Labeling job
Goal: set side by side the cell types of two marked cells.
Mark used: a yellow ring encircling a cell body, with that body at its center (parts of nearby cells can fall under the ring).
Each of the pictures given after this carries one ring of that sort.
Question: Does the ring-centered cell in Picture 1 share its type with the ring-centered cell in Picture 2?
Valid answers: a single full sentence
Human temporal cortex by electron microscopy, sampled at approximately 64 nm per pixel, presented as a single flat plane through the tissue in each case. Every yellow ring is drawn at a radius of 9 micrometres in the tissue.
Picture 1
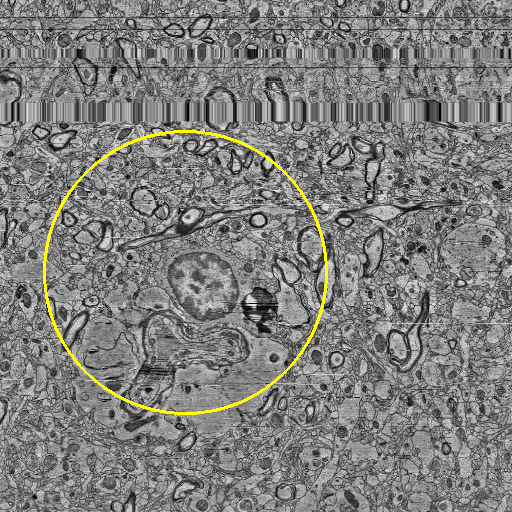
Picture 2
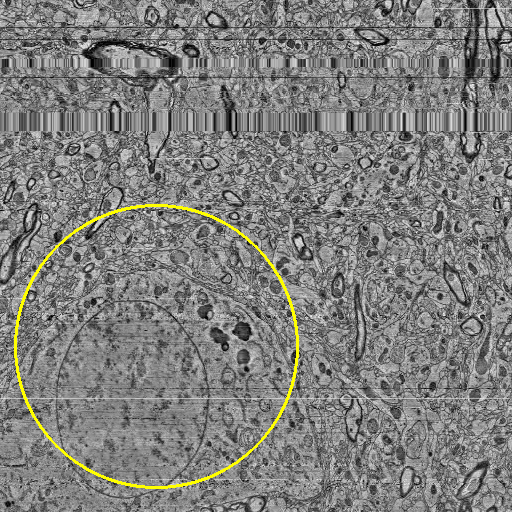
No, in Pictures 1 and 2 the cells at the ring centers have separate types.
